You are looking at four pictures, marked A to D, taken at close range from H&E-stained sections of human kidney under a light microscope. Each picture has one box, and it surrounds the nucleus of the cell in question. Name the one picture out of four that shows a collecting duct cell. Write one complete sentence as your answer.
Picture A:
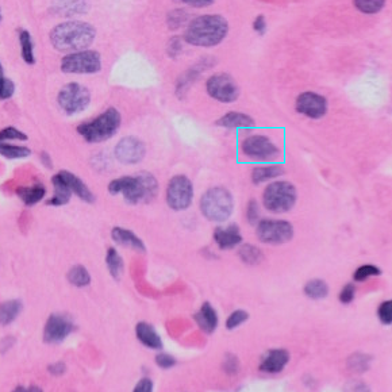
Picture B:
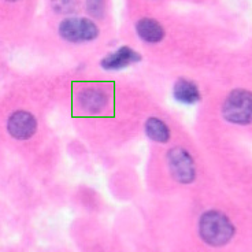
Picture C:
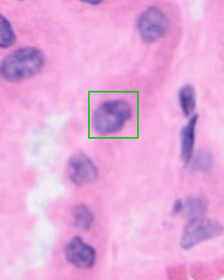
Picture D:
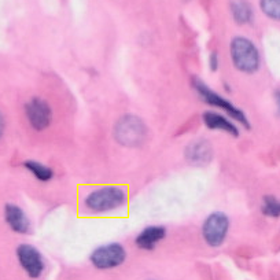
It is picture A that shows the collecting duct cell.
